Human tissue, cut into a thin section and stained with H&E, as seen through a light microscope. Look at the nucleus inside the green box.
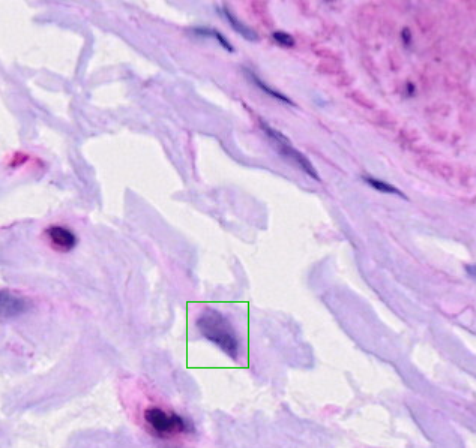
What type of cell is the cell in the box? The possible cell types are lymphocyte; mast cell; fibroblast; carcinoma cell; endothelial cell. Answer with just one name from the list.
fibroblast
